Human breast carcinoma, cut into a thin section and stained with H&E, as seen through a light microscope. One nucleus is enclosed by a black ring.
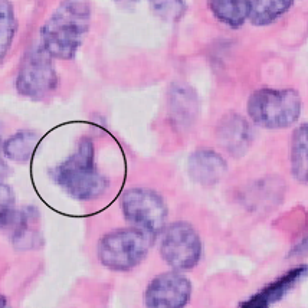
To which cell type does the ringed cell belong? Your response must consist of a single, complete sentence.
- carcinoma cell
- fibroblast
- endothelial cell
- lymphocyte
As to its cell type, the ringed cell is a carcinoma cell.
